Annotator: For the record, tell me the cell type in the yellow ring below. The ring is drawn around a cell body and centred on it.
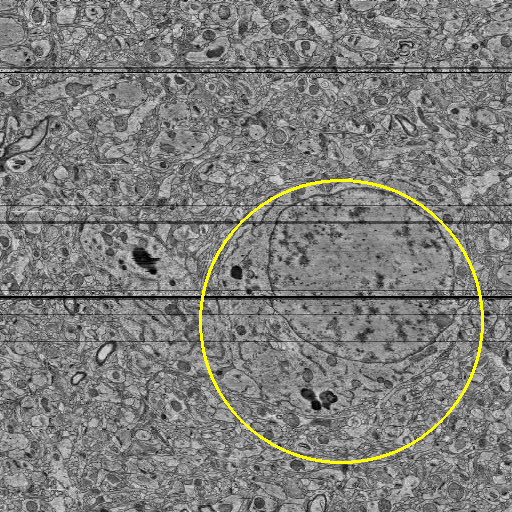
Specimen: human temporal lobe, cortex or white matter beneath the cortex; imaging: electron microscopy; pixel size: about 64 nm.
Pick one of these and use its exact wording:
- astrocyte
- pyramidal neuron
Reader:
pyramidal neuron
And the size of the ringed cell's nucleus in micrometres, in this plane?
In this plane the nucleus measures roughly 13 by 11 micrometres.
